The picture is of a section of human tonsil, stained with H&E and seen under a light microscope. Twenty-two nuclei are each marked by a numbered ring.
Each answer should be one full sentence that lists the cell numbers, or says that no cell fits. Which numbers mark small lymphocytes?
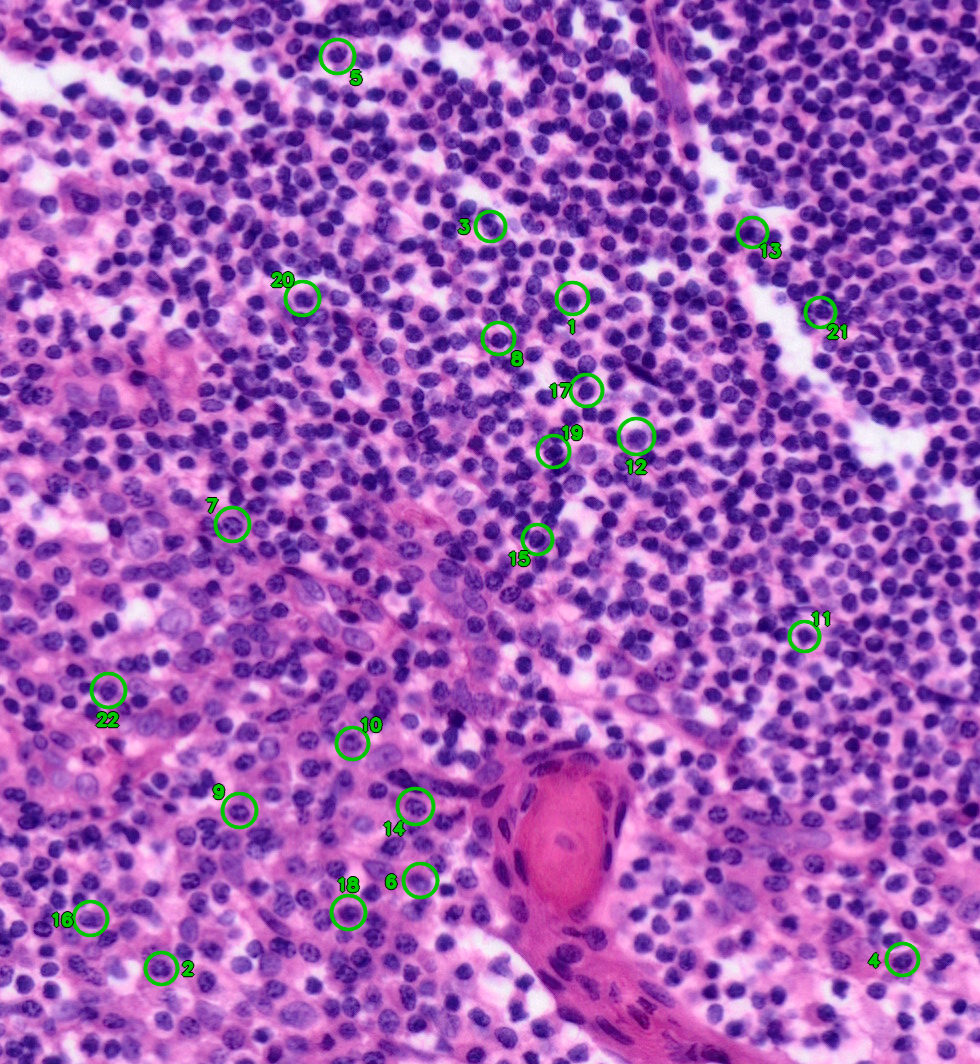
The cells numbered 1, 3, 5, 8, 11, 12, 13, 15, 17, 19, 20 and 21 are typed as small lymphocytes.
